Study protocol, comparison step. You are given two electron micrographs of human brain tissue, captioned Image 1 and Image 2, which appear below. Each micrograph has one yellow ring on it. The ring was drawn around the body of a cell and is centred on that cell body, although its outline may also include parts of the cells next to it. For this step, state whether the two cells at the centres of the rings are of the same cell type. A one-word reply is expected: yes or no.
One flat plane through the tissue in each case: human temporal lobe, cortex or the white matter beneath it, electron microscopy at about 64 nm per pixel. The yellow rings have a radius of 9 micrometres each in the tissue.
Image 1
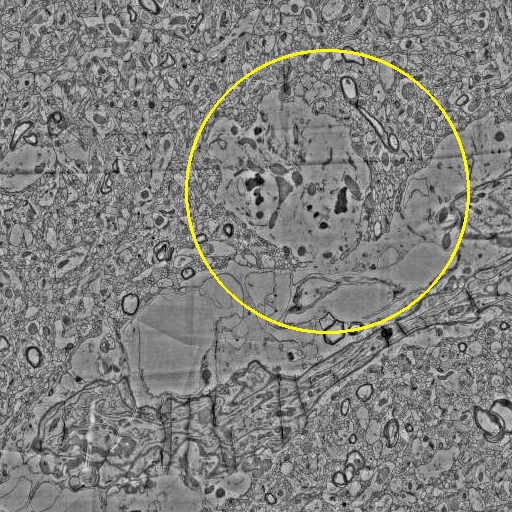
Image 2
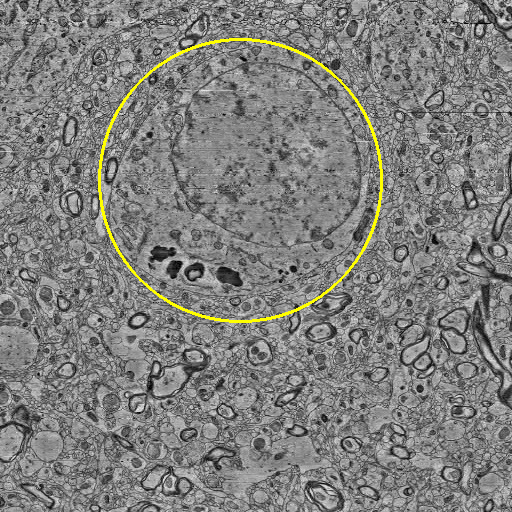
no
